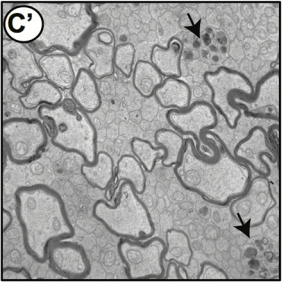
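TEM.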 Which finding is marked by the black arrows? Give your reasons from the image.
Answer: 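Dystrophic axons. The arrowed axons contain clusters of dark, electron-dense bodies. These axons lack a myelin sheath.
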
